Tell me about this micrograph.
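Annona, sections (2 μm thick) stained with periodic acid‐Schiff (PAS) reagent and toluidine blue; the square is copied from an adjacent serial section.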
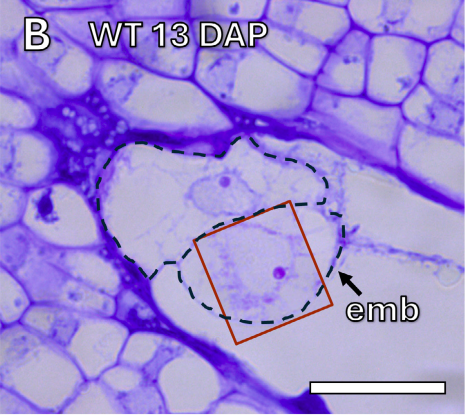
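A two‐celled embryo, outlined by a dashed line, lies against the wall of a large pale cavity, surrounded by violet‐stained tissue cells. The two embryo cells are pale, with finely granular lilac cytoplasm, and each holds a rounded nucleus with a small dark magenta nucleolus. A thin wall divides the two cells, which together form a small lobed body. Around the cavity the surrounding cells are polygonal and strongly vacuolated, with thin deep violet walls and sparse cytoplasm. At the upper left a band of densely stained tissue with small granules borders the cavity.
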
